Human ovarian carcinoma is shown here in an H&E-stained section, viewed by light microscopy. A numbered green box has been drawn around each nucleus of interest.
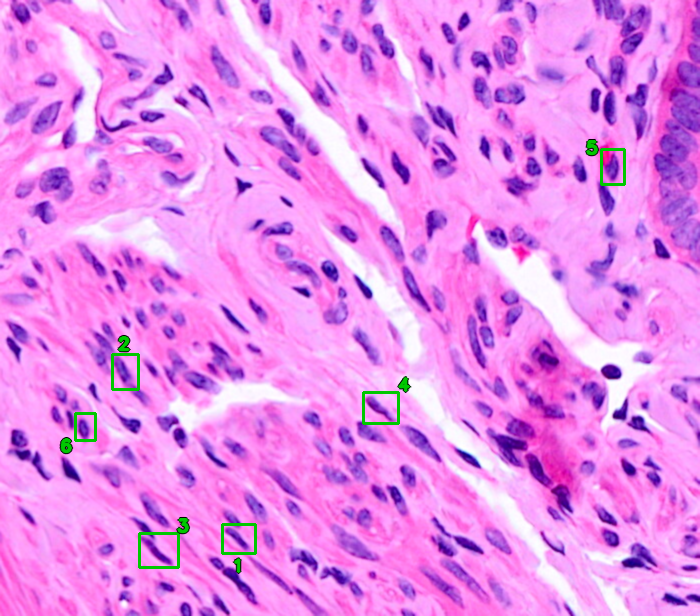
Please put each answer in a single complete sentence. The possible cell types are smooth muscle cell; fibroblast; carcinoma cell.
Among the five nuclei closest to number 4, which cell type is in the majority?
Smooth muscle cells make up most of the five nuclei closest to number 4.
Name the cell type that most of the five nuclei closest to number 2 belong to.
Smooth muscle cells make up most of the five nuclei closest to number 2.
